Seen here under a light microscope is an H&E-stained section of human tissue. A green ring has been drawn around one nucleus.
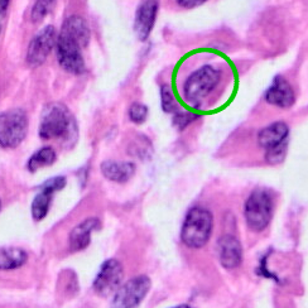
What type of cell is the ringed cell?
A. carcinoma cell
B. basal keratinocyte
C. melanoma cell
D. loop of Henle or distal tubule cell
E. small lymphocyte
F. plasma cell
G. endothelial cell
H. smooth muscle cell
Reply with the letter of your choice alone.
C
